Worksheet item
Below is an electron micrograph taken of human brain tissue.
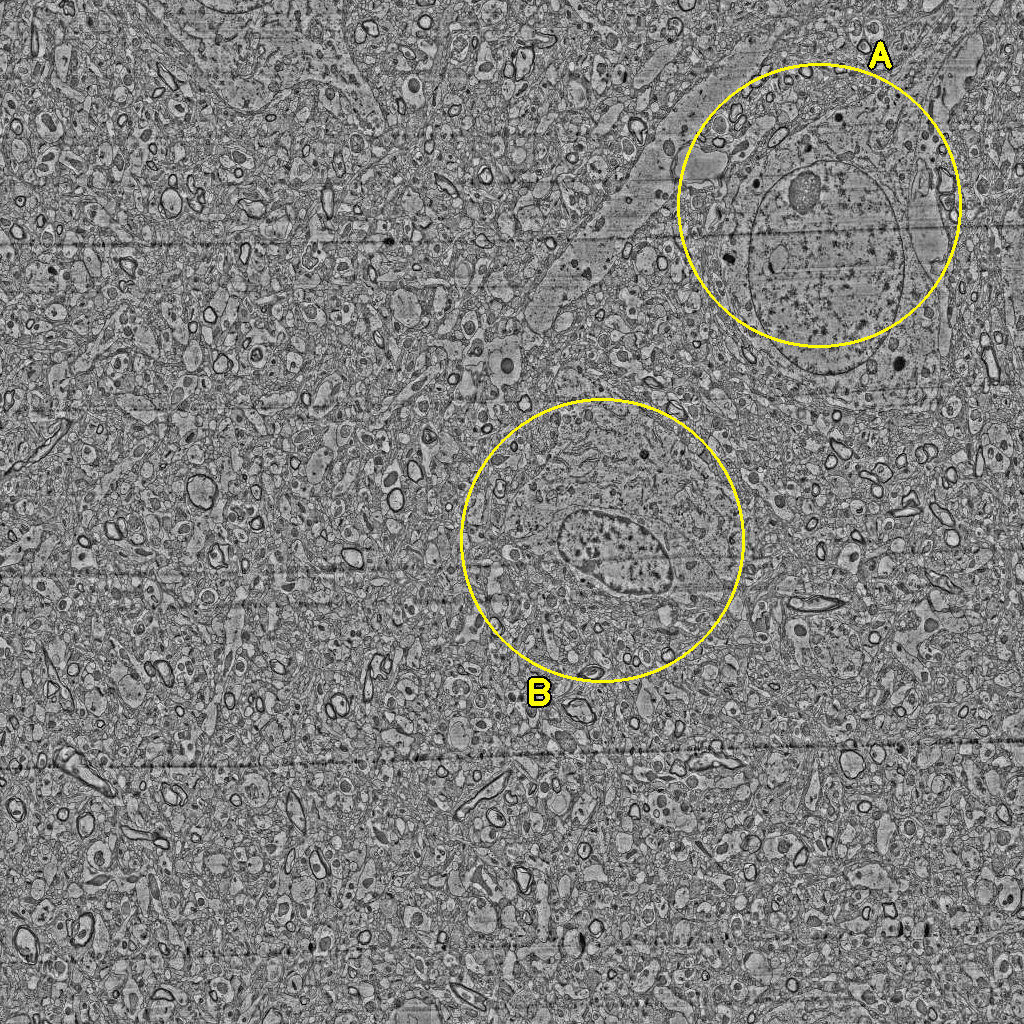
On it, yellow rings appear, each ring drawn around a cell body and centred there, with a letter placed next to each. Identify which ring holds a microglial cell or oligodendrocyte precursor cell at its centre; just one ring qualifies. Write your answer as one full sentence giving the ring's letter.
Ring B has the cell asked for right at its centre in the picture.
